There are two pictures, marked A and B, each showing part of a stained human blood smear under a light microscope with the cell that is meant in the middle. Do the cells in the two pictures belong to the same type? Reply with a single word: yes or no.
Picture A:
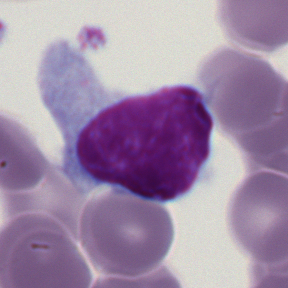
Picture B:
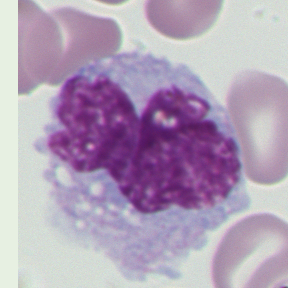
no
